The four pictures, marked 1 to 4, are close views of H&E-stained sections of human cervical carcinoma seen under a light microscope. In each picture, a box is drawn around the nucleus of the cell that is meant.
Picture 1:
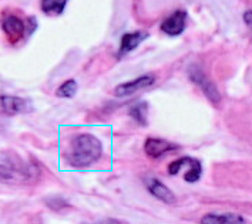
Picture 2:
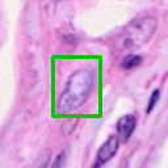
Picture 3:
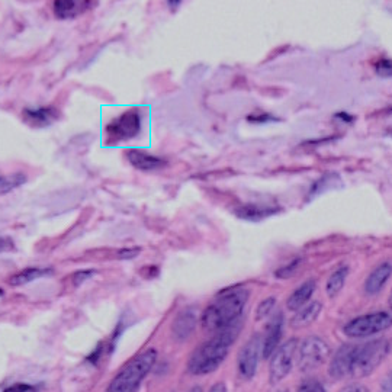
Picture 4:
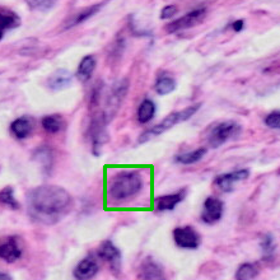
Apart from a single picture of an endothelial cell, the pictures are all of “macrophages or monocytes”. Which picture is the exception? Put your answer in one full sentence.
The cell in picture 2 is the endothelial cell.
